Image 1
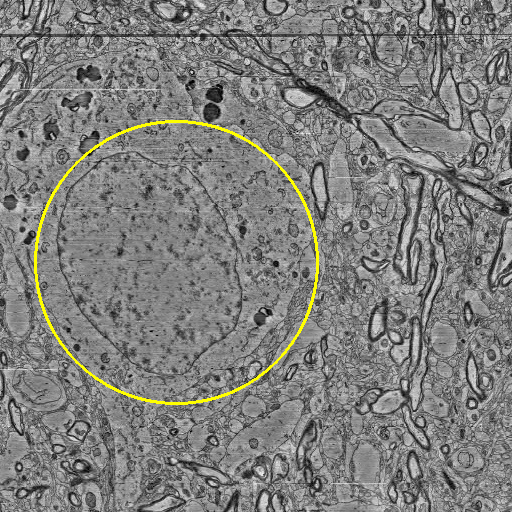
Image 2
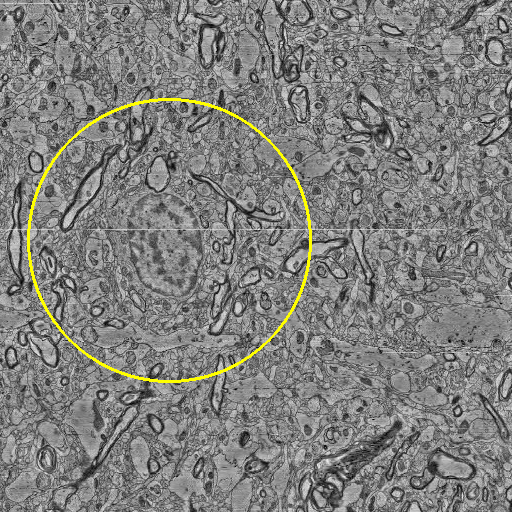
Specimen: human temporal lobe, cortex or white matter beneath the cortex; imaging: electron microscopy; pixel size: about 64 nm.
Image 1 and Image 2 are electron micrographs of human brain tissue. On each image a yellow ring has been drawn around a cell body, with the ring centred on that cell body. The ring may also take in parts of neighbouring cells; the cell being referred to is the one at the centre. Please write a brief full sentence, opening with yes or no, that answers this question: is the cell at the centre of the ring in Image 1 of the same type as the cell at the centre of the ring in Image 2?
No, the two cells are of two types.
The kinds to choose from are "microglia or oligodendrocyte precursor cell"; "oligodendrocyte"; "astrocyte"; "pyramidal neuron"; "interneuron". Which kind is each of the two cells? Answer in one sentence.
Of the two, the first cell is a pyramidal neuron and the second cell is an oligodendrocyte.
